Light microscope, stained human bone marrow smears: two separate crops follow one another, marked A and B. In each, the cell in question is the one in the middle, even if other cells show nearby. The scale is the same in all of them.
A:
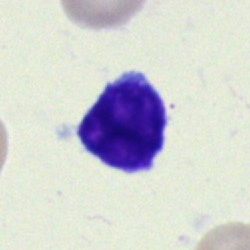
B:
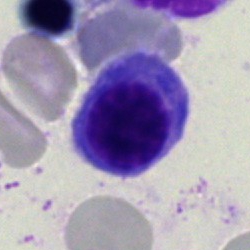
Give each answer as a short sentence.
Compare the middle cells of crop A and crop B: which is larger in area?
Larger is the cell in crop B, at roughly 1.5 times the area of the other.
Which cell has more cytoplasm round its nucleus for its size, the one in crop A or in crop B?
In crop B the nucleus takes up the smaller part of its cell.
